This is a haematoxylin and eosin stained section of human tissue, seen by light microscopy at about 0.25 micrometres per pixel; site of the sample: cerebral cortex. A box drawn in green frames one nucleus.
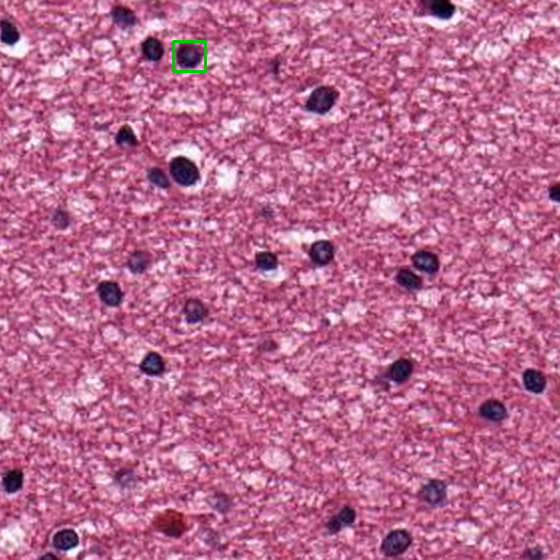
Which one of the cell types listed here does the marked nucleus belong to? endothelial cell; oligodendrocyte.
oligodendrocyte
